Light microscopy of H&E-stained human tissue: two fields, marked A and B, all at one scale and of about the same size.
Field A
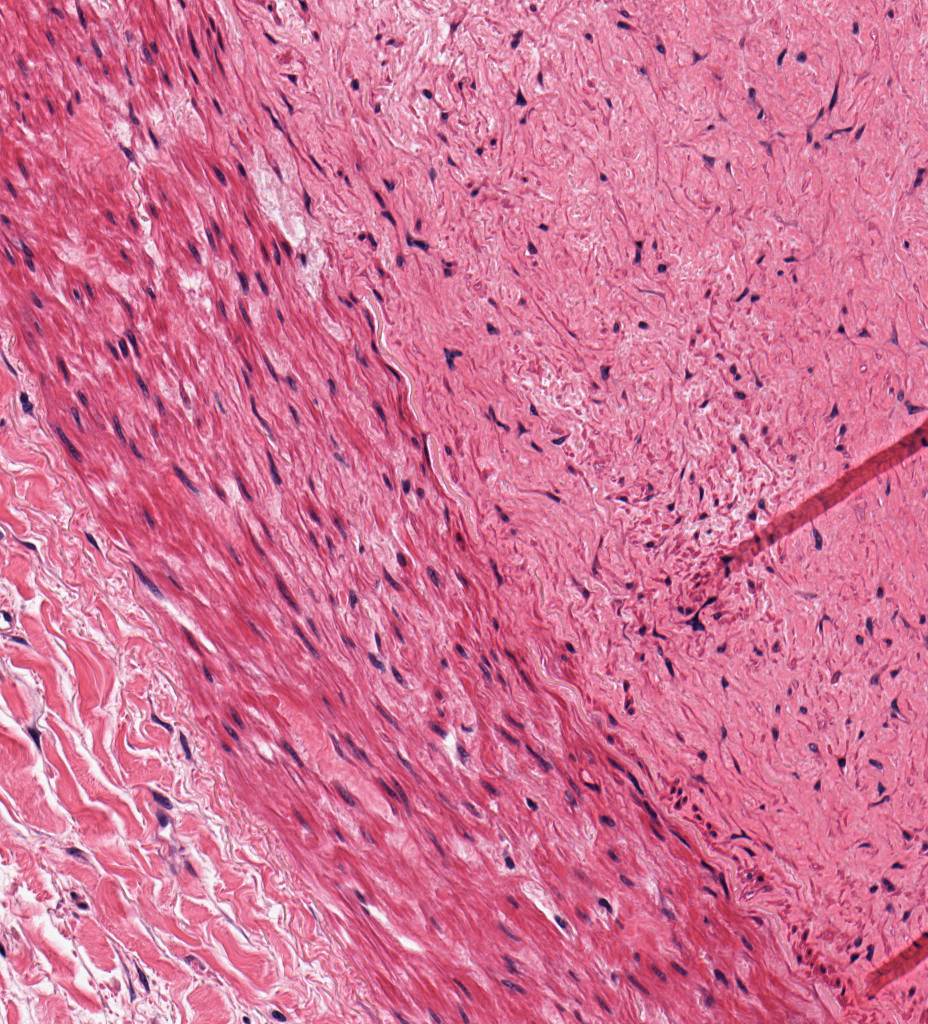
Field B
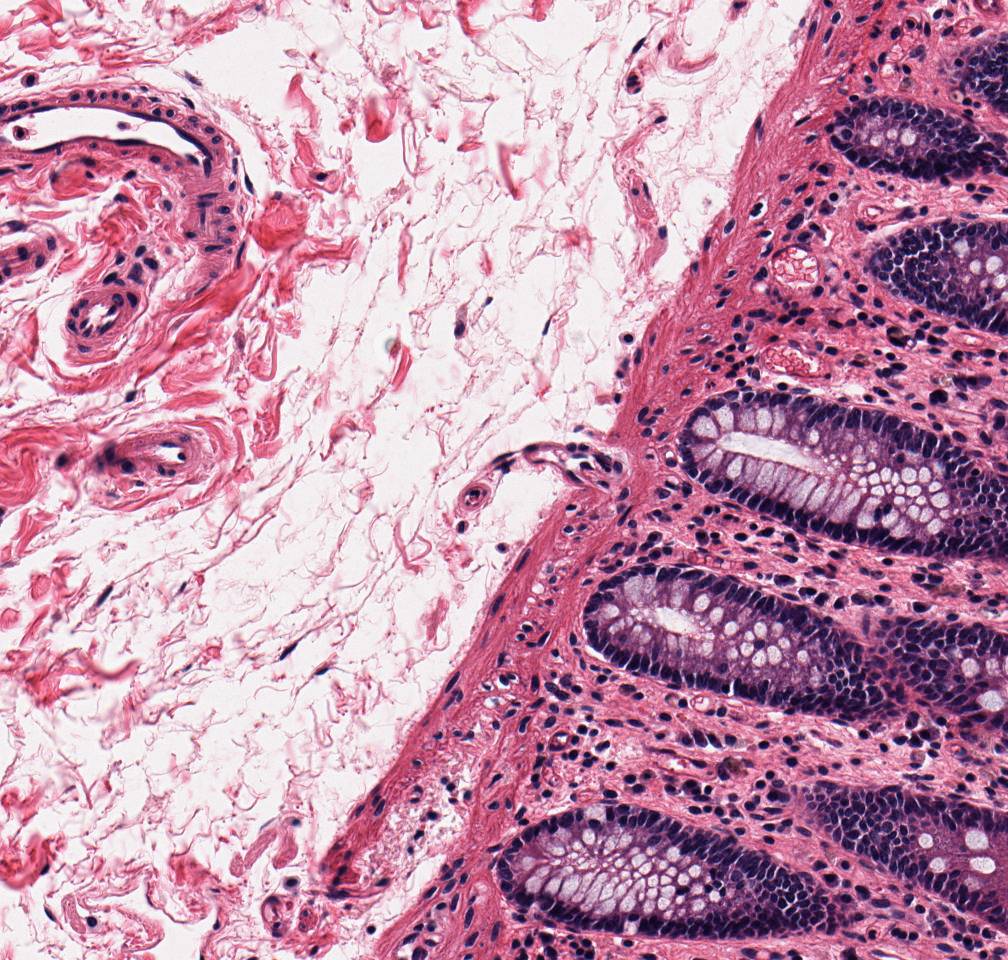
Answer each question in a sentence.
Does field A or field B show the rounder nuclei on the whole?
Rounder nuclei lie in field B.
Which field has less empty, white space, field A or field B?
Less of field A is empty and white.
